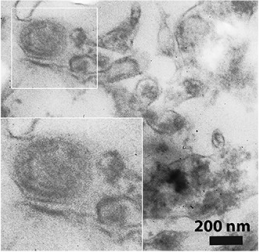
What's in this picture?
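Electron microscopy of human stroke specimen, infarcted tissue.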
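In the enlarged box a rounded body a few hundred nanometres across is outlined by a membrane and filled with finely granular, grey material; beside it lie smaller rounded profiles. The surrounding background is pale and loose, with scattered dark, ragged debris and broken membranes rather than an orderly packed tissue, as is fitting for tissue that has broken down.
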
